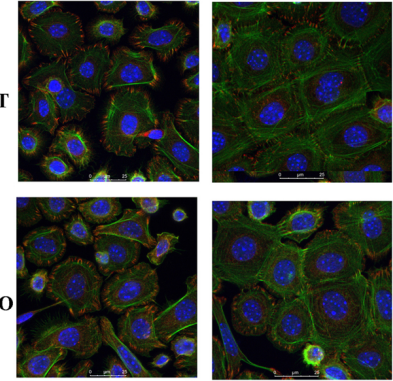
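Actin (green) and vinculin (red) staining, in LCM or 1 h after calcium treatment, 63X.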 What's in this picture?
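Green filament bundles line the cell margins and cross the cytoplasm as fine fibres. Red dots and short streaks lie mainly at the cell edges, at the tips of the green bundles. In the left-hand fields the cells sit apart from one another, with small gaps between them and spiky or ruffled green protrusions at their borders. In the right-hand fields the cells are packed tightly and touch along continuous, smoother green borders, forming a sheet with few gaps.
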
